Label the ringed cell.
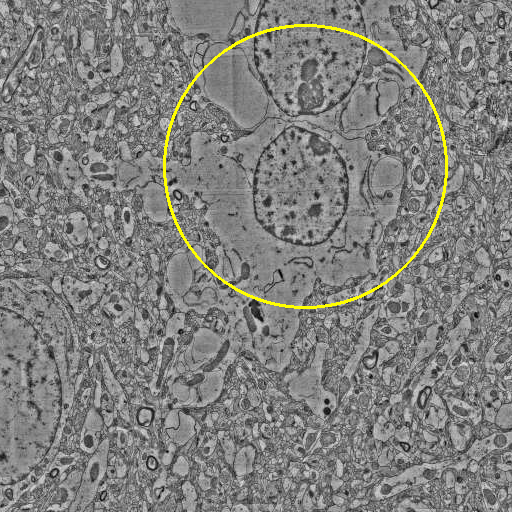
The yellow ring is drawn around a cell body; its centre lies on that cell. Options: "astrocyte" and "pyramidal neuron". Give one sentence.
The ringed cell is an astrocyte.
